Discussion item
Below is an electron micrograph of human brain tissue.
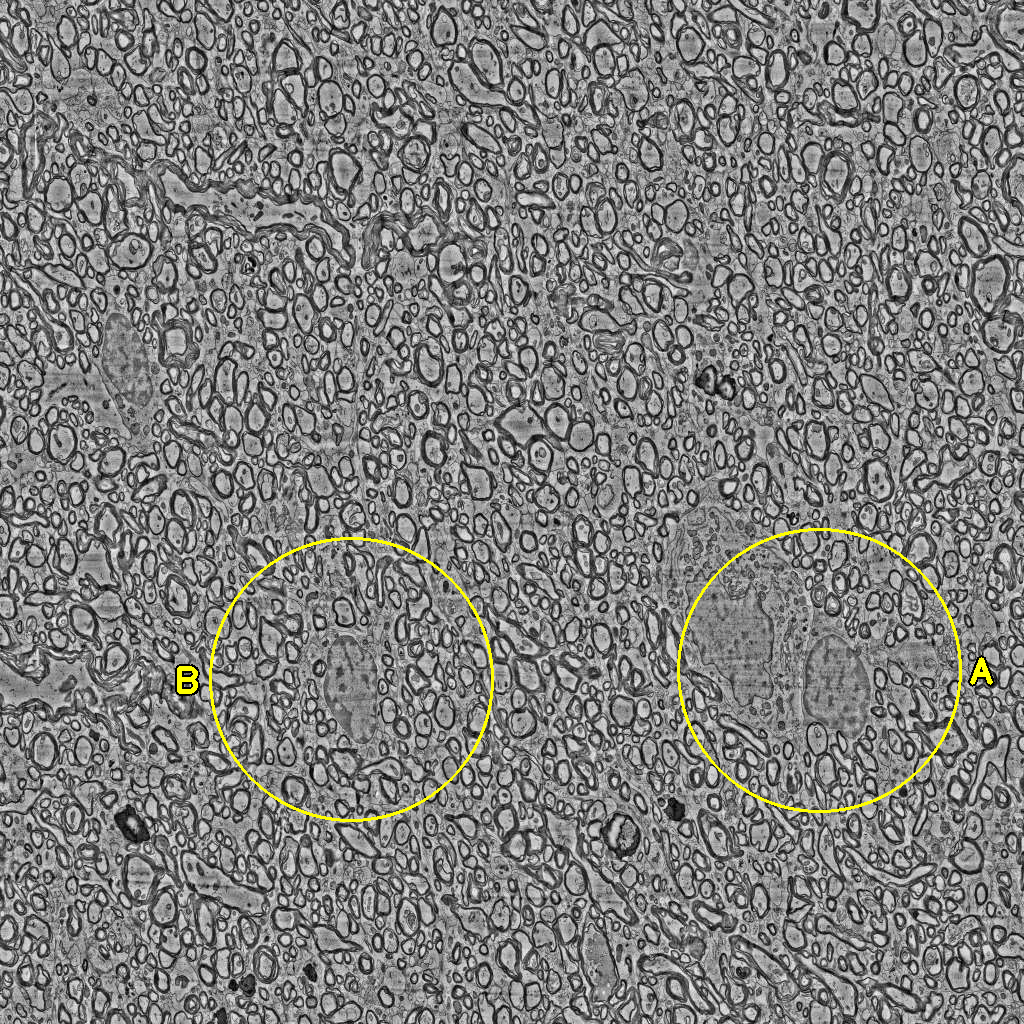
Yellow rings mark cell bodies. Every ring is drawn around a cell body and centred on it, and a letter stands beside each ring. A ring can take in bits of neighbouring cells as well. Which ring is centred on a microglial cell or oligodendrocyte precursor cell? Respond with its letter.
B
